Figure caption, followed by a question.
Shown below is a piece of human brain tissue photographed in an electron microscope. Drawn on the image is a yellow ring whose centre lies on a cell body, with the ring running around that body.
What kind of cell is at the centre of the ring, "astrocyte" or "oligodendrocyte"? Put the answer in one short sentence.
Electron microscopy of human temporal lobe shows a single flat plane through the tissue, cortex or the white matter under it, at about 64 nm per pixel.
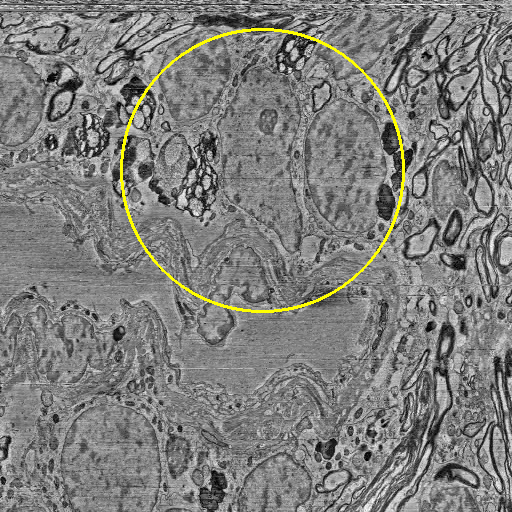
The ring marks the cell body of an astrocyte.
